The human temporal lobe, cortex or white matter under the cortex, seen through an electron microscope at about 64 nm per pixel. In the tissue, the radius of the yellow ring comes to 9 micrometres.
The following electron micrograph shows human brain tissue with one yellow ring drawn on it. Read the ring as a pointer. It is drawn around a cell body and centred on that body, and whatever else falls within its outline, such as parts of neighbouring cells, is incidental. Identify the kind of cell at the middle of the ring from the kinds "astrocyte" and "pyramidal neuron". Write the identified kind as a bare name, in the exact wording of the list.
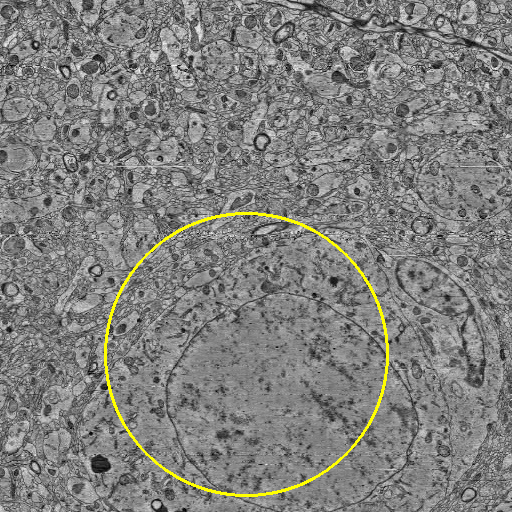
pyramidal neuron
